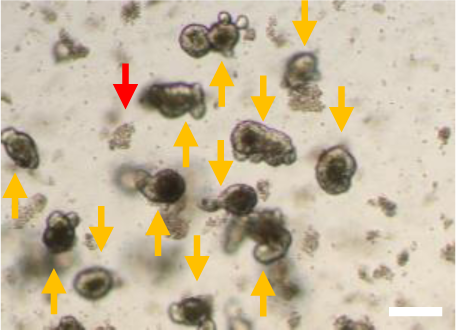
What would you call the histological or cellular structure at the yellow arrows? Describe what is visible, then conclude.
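The yellow arrows point to rounded, dark-walled multicellular structures. Several of the marked structures have budding outgrowths.
Hence: organoids.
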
